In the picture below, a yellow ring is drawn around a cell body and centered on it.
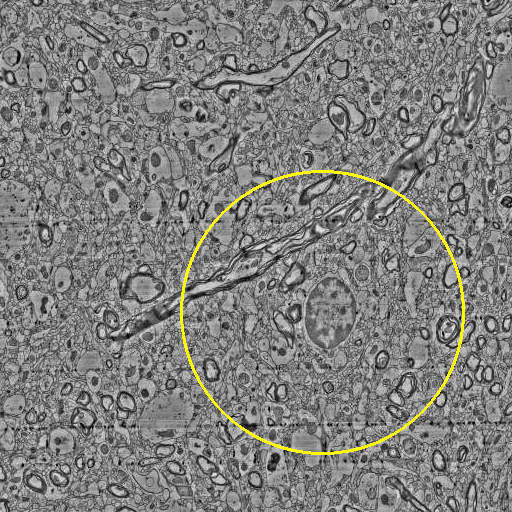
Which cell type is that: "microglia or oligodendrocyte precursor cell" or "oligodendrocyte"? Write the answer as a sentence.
The cell centered in the ring is a microglial cell or oligodendrocyte precursor cell.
